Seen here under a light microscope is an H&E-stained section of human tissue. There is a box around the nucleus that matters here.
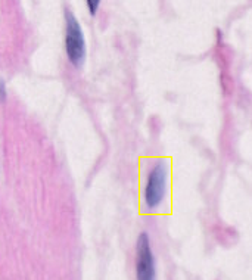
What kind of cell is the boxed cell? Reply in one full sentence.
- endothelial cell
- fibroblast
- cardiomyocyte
In this tissue sample, the boxed cell is a fibroblast.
